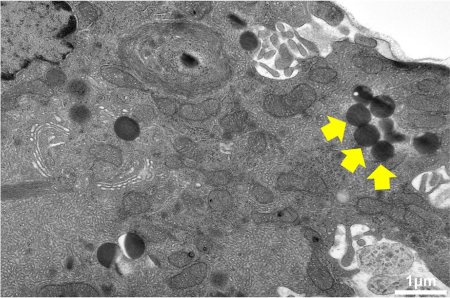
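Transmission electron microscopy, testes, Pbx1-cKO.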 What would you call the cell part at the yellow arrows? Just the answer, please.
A: lipid droplets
